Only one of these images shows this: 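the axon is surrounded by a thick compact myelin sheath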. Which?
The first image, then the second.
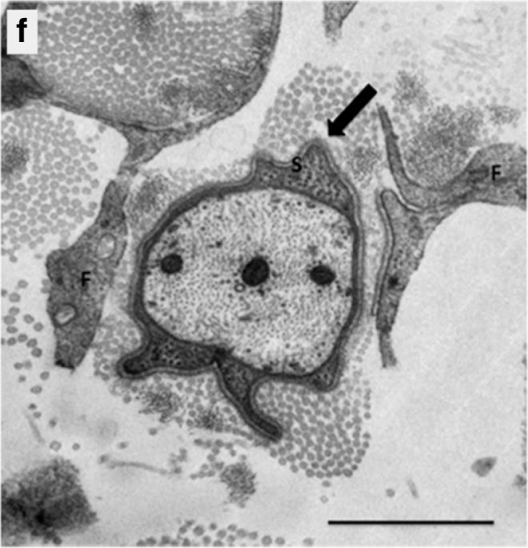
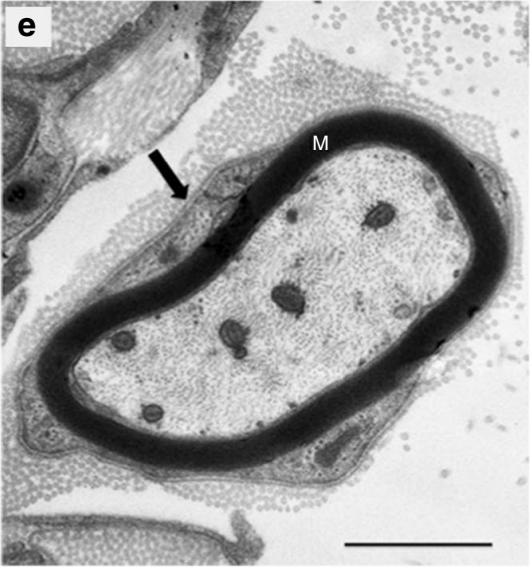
the second image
